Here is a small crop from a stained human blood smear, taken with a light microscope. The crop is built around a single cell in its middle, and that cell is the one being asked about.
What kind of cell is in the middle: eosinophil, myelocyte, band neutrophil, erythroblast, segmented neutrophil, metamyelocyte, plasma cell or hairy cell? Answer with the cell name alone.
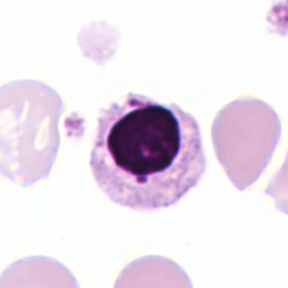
erythroblast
